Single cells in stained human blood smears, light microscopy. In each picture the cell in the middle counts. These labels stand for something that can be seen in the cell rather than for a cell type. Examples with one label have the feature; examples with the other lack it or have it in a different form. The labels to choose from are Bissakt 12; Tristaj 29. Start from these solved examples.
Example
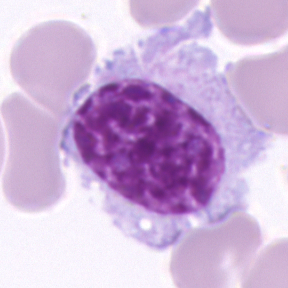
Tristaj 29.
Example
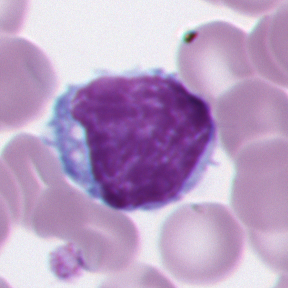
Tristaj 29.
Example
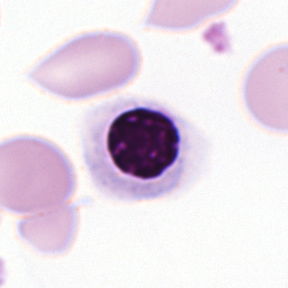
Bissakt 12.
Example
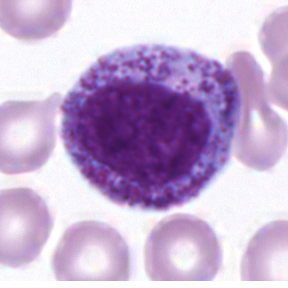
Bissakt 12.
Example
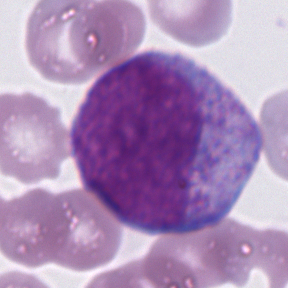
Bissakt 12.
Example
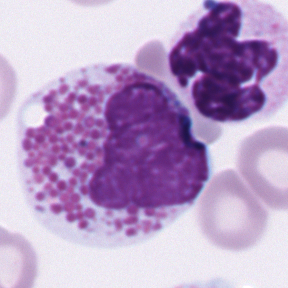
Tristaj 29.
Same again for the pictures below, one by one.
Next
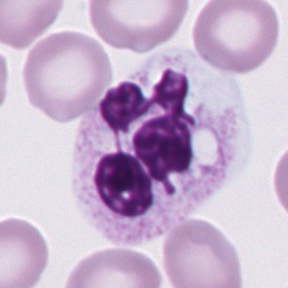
Tristaj 29.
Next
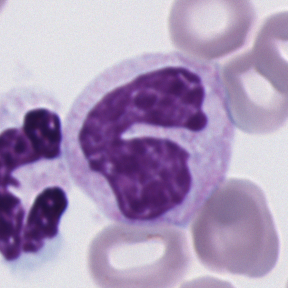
Bissakt 12.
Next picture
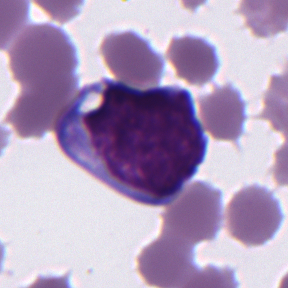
Tristaj 29.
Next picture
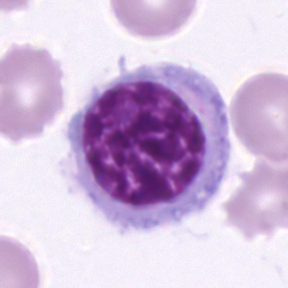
Bissakt 12.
